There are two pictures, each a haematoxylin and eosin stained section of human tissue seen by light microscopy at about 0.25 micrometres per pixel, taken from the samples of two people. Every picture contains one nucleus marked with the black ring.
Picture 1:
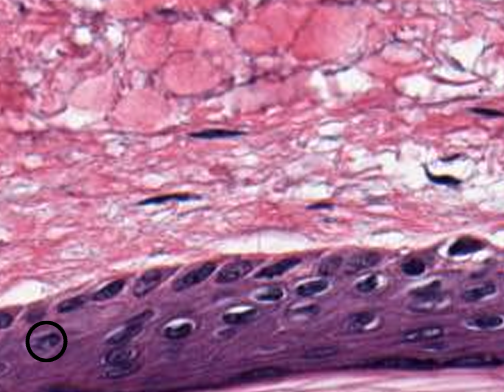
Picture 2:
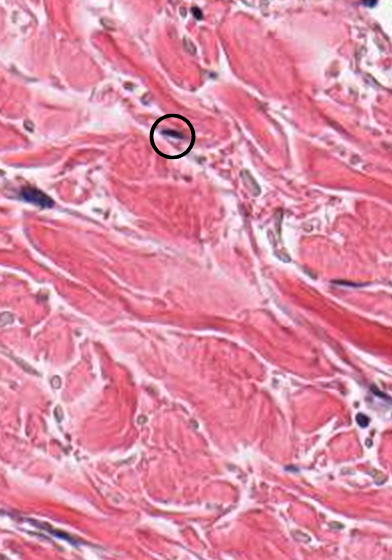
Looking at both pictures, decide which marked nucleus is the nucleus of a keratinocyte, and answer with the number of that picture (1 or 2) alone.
1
